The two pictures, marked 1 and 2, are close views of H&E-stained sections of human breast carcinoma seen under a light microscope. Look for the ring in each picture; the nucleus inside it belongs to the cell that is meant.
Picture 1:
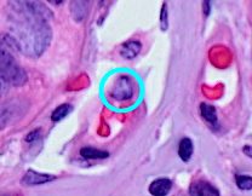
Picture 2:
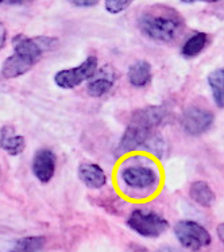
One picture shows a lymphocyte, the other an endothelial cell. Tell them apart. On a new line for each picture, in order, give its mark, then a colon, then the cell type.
1: endothelial cell
2: lymphocyte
